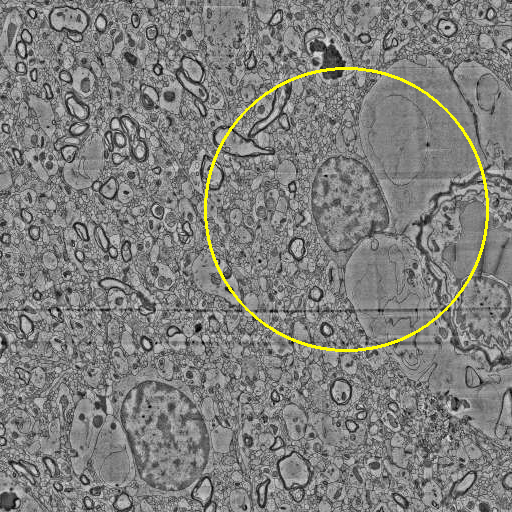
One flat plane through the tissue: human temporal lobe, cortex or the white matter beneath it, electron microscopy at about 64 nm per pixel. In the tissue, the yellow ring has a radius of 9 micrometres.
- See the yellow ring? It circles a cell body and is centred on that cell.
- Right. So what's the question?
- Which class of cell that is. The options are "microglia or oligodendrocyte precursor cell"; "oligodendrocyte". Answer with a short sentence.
The centre of the ring holds an oligodendrocyte.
